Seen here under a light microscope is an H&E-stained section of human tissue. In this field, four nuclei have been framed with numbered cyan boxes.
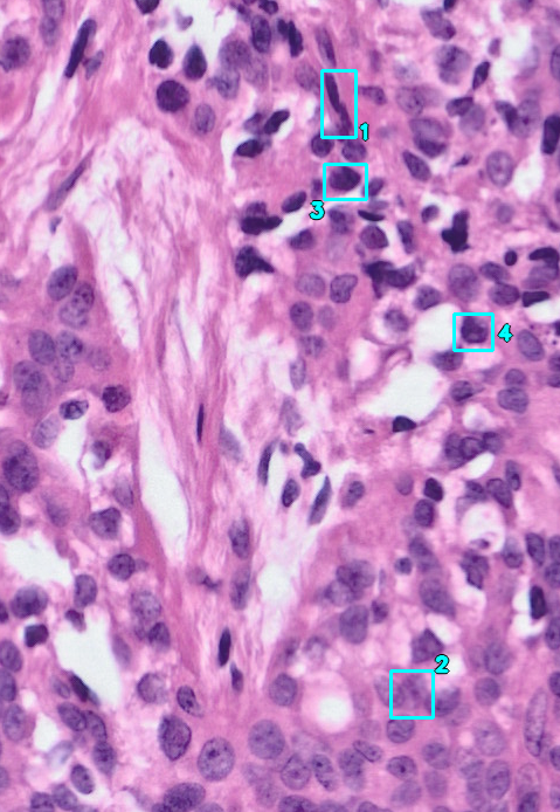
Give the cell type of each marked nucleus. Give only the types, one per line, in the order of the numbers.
endothelial cell
carcinoma cell
carcinoma cell
carcinoma cell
